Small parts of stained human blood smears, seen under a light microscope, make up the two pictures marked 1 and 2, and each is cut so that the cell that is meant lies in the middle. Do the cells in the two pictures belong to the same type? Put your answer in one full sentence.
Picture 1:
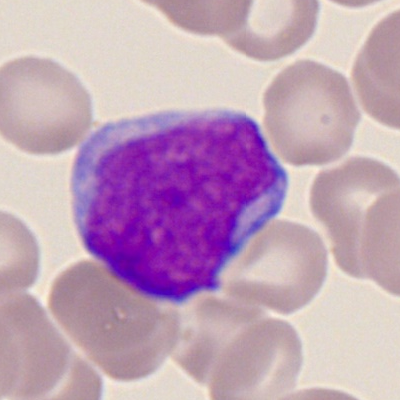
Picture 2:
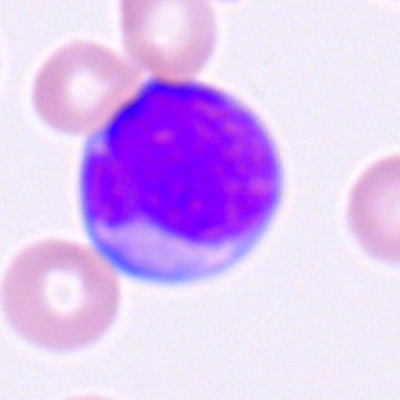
Yes, the two pictures both show myeloblasts.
